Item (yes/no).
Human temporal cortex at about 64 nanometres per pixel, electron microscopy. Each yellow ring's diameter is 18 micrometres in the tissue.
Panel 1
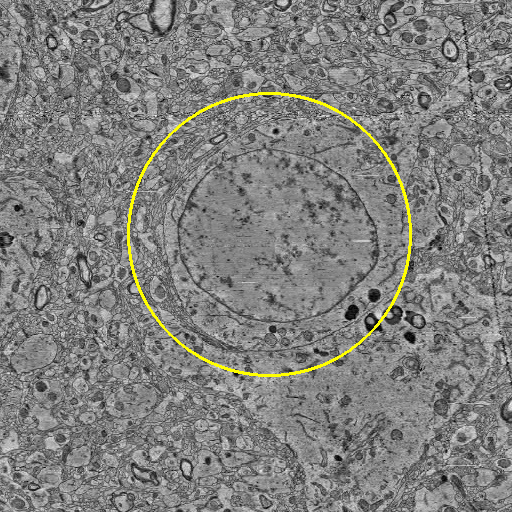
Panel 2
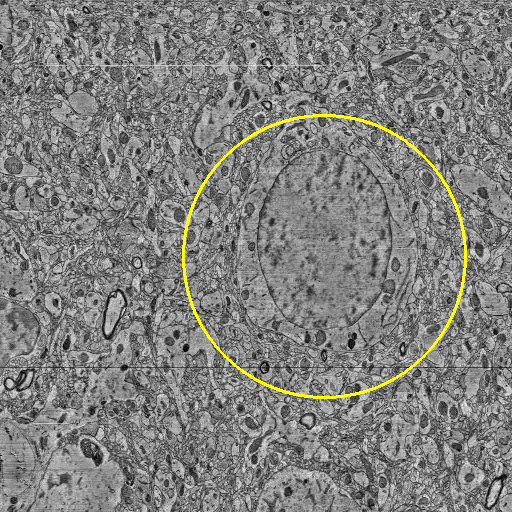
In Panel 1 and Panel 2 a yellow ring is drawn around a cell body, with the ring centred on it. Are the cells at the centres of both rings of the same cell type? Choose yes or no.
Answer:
yes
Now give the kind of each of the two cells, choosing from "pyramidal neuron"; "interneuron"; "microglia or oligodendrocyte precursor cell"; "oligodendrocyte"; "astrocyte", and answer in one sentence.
In both pictures the ring is centred on a pyramidal neuron.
